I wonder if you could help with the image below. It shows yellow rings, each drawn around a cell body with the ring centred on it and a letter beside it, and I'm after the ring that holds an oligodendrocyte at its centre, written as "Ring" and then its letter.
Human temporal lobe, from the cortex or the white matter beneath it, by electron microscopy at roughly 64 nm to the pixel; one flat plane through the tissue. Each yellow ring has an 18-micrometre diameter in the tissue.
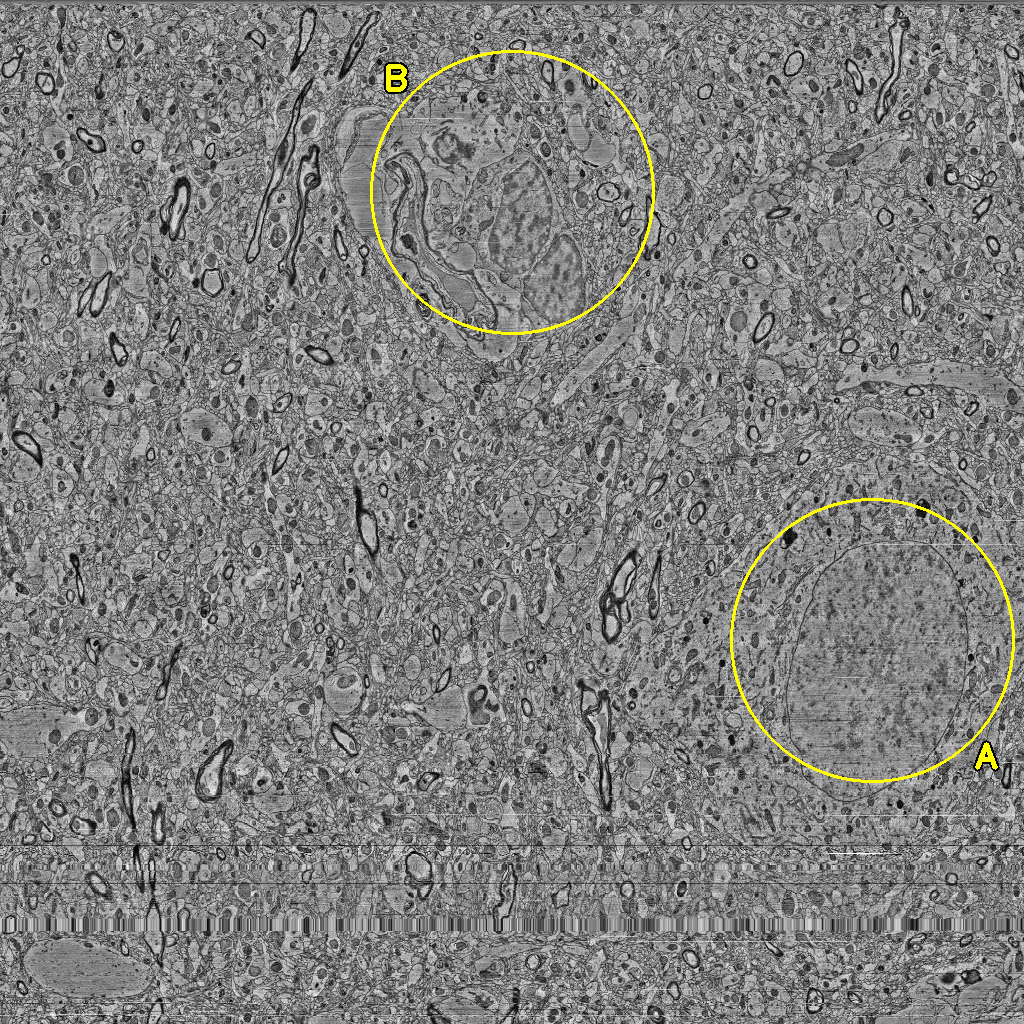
Ring B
